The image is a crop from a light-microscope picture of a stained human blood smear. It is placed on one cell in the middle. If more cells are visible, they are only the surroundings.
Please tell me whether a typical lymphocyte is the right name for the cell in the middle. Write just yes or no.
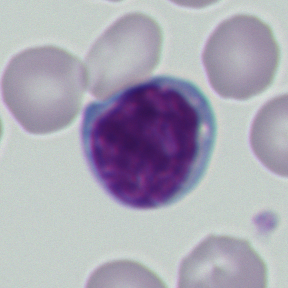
yes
